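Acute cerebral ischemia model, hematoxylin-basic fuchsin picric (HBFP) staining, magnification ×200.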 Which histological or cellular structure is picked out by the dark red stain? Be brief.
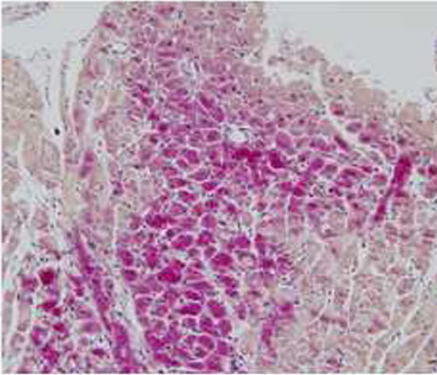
myocardial fibers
